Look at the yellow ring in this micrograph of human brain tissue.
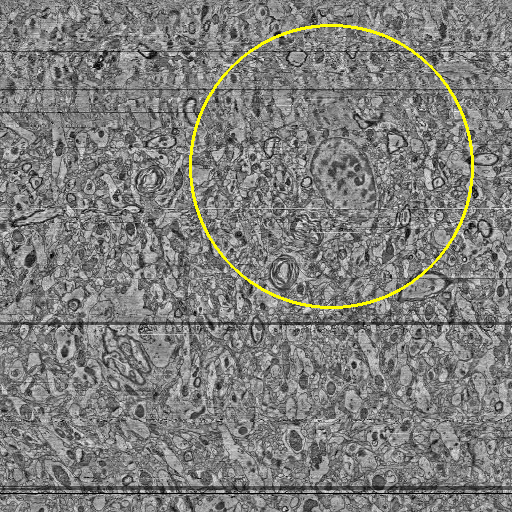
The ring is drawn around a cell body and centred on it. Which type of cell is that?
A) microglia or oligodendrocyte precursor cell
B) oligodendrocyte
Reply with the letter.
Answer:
B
